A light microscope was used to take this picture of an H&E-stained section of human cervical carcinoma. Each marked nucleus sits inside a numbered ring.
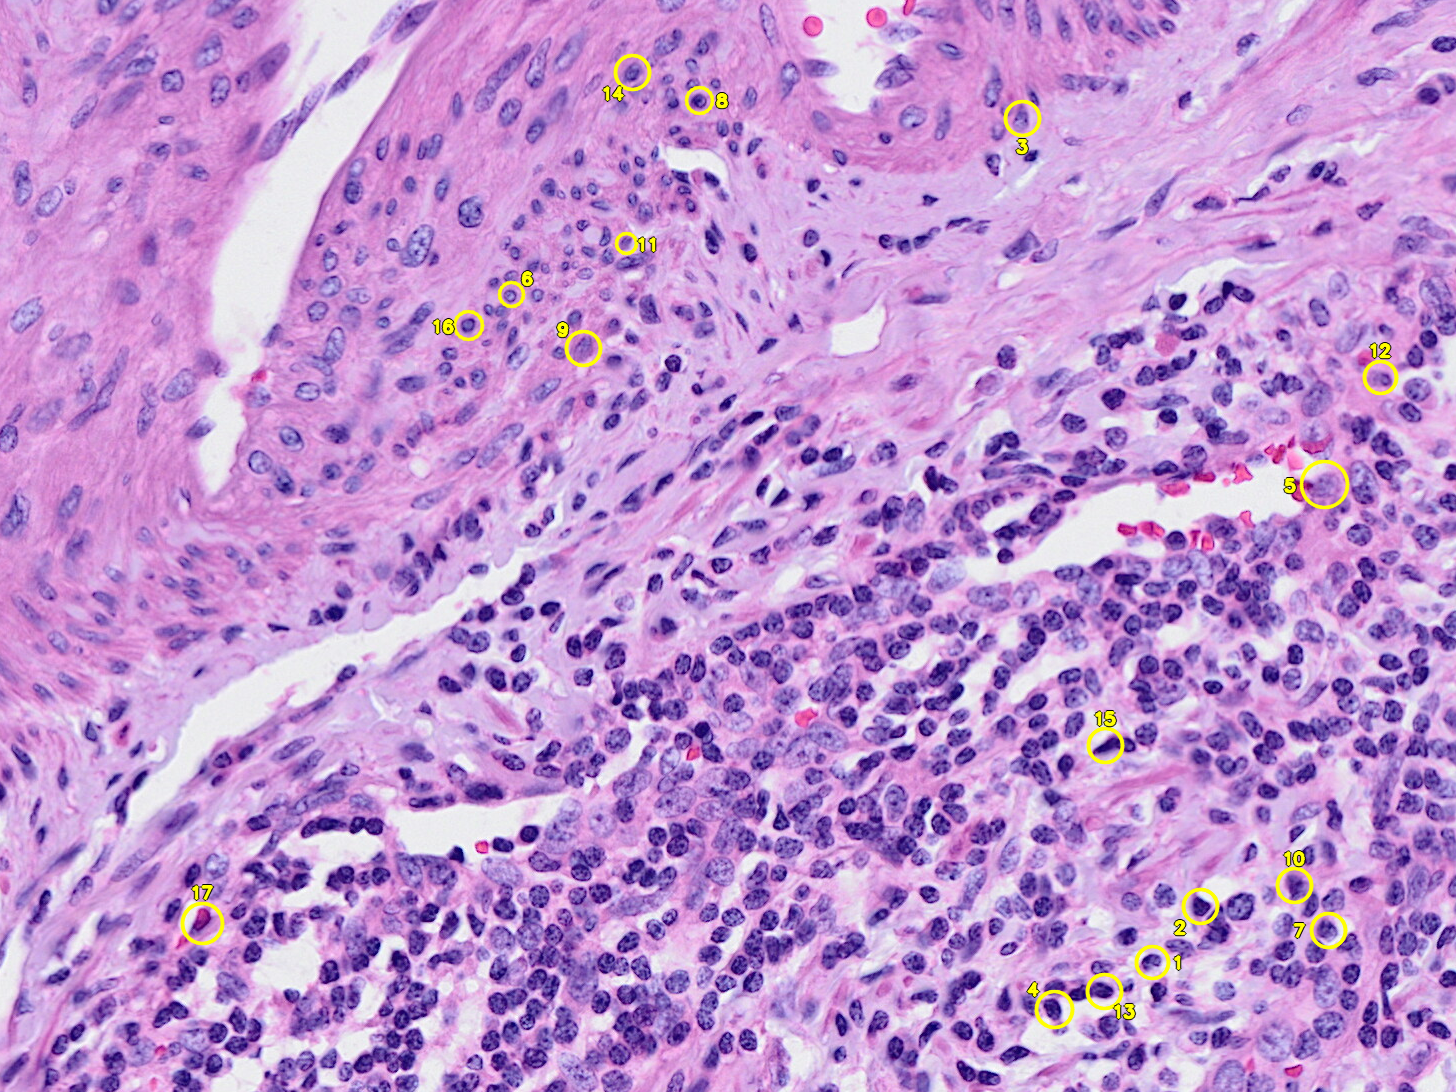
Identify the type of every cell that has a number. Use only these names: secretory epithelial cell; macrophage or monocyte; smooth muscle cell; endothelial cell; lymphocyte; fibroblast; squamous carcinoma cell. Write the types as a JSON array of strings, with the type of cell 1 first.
["lymphocyte", "lymphocyte", "smooth muscle cell", "lymphocyte", "endothelial cell", "smooth muscle cell", "lymphocyte", "smooth muscle cell", "smooth muscle cell", "lymphocyte", "smooth muscle cell", "endothelial cell", "lymphocyte", "smooth muscle cell", "lymphocyte", "smooth muscle cell", "endothelial cell"]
